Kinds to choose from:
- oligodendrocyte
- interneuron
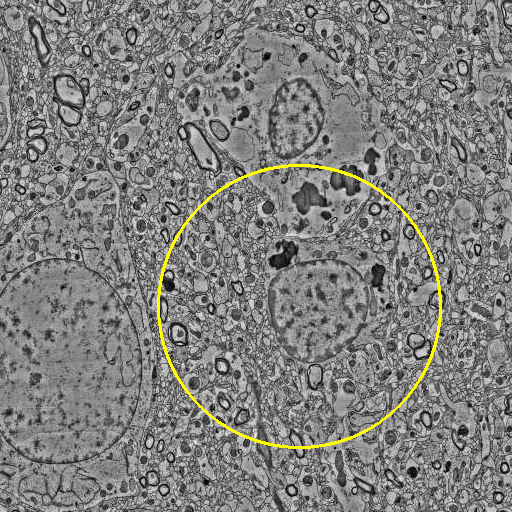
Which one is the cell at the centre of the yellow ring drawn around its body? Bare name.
oligodendrocyte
